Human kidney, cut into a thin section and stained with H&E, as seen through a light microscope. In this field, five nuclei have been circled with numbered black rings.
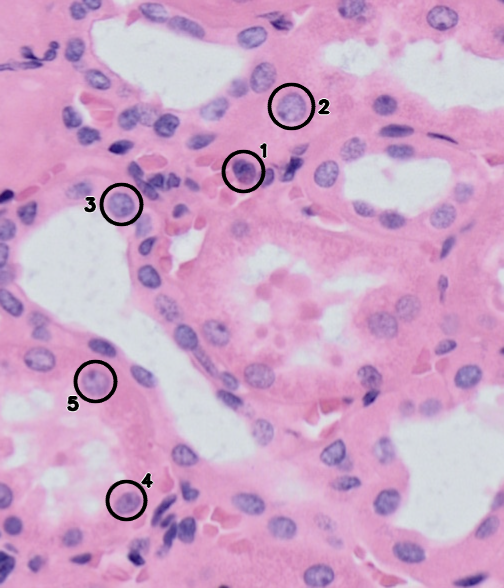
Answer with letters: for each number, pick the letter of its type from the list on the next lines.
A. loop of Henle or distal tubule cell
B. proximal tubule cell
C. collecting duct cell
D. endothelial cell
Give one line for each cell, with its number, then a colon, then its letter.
1: D
2: B
3: C
4: B
5: B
